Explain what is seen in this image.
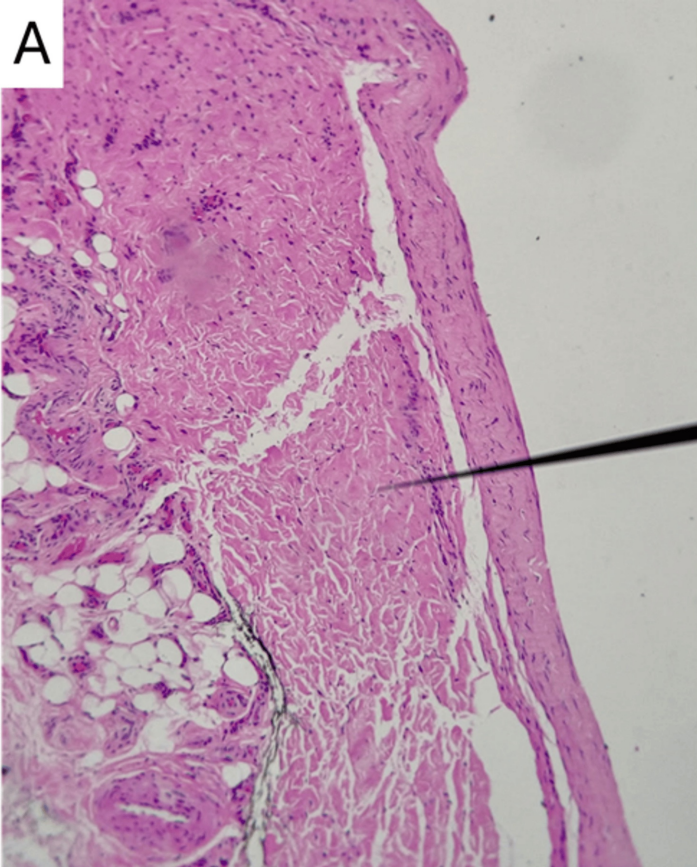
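Pink, wavy, densely packed fibrous bundles with only sparse elongated dark nuclei fill most of the field, with clusters of empty round fat cells at the left edge. A narrow clear cleft runs lengthwise through the fibrous tissue, bordered directly by the fibres without any layer of lining cells. This is dense collagenous stroma around a cleft-like cystic space.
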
